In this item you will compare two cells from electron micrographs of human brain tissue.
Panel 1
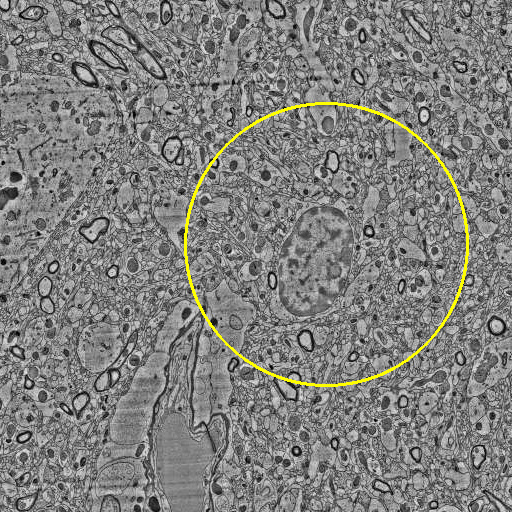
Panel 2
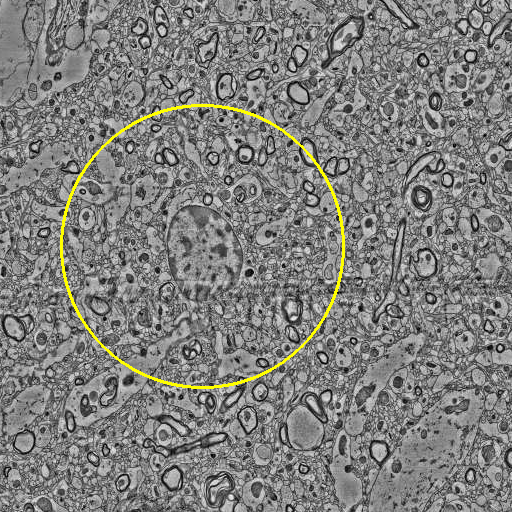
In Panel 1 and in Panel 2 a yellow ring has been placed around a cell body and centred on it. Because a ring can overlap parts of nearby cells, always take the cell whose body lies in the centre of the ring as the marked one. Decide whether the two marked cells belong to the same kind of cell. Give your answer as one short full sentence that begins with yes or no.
Yes, the two marked cells belong to the same kind of cell.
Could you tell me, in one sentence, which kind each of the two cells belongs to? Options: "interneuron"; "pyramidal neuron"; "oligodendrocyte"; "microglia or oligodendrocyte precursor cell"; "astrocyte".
Each of the two cells is a microglial cell or oligodendrocyte precursor cell.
